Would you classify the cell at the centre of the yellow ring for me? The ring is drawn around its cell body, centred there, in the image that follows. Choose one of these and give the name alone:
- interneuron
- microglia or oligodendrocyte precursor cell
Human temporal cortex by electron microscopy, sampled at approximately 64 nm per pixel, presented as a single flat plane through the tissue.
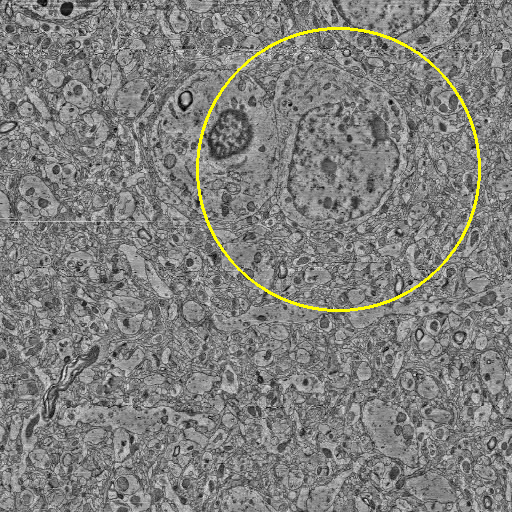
interneuron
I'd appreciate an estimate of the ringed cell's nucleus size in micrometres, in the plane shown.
Roughly 8 by 7 micrometres in this plane, for the nucleus of the ringed cell.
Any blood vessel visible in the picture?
No, there is none.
